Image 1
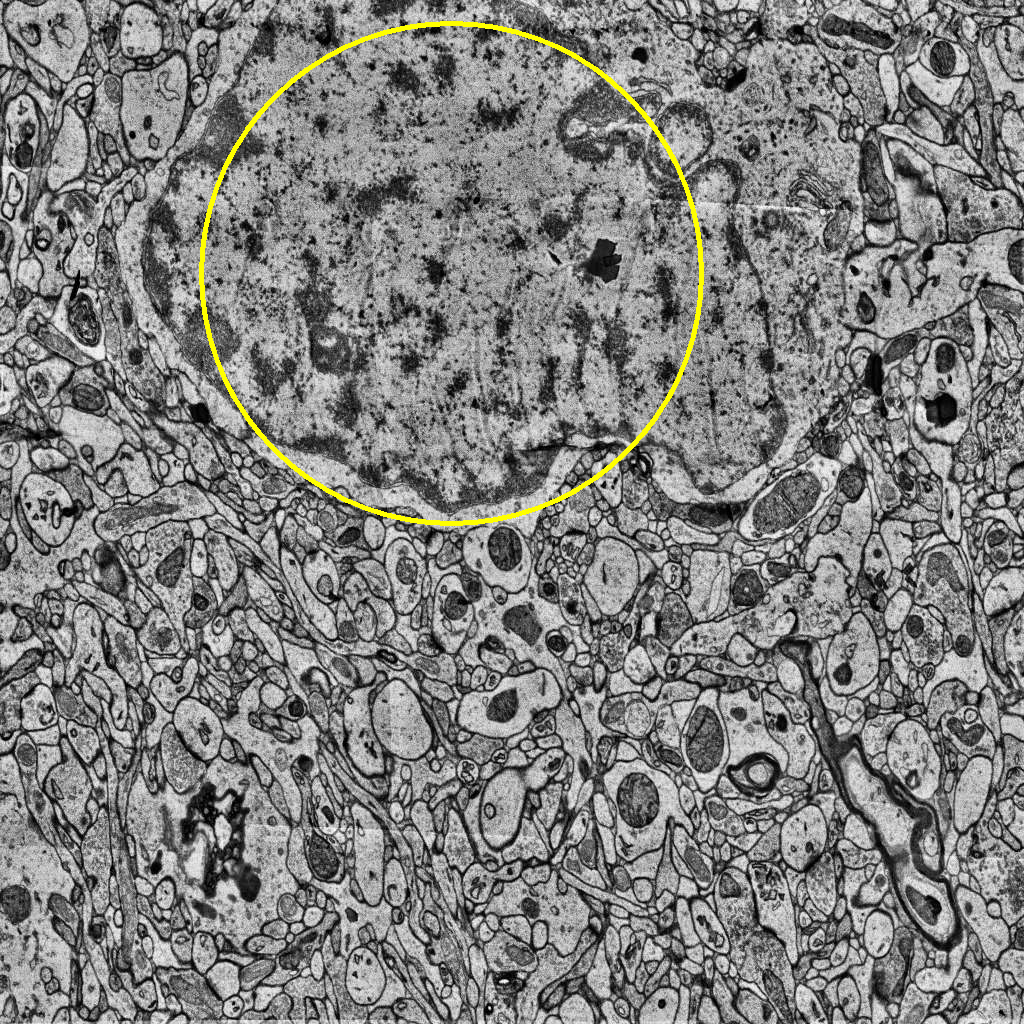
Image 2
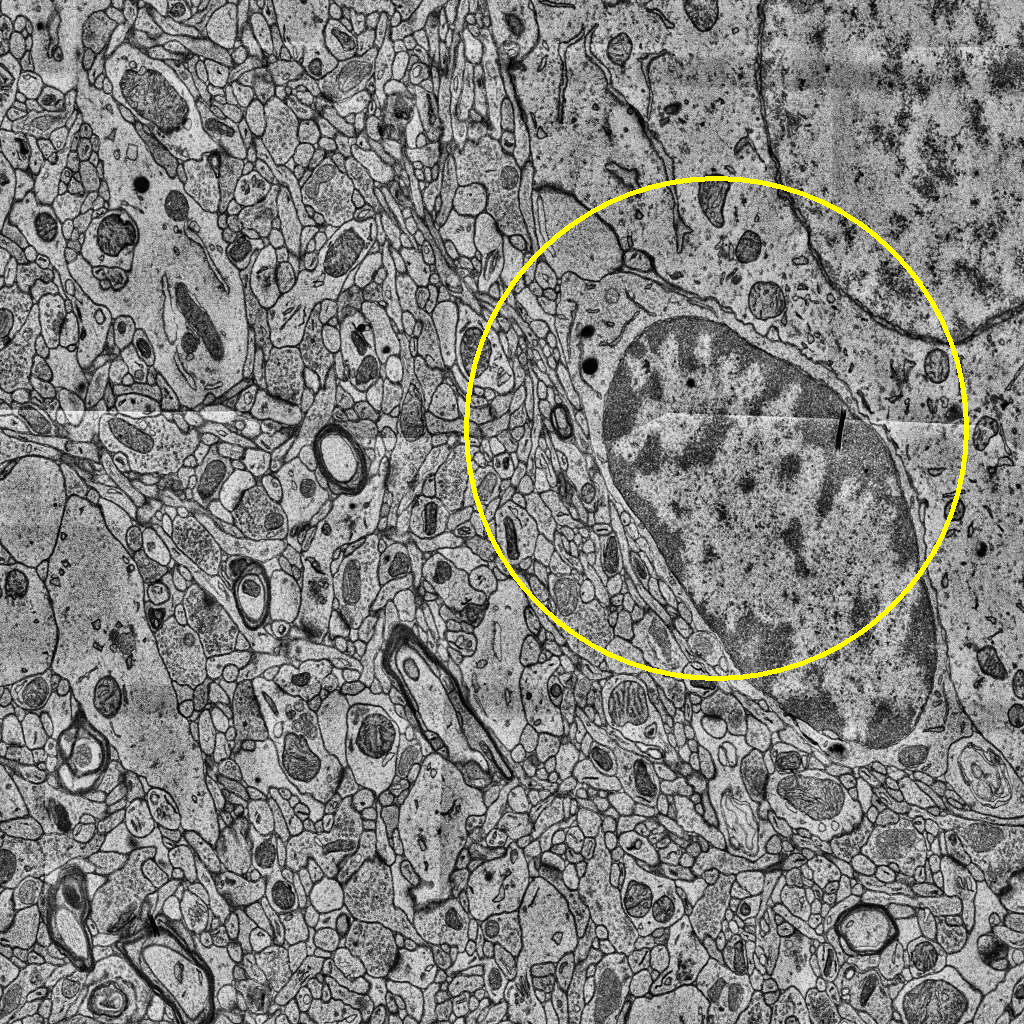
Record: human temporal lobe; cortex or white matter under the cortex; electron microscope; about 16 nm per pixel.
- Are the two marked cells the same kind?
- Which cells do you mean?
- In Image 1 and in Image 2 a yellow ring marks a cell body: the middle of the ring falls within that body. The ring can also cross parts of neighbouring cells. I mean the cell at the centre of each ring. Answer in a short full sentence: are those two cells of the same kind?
Yes, both cells are of the same kind.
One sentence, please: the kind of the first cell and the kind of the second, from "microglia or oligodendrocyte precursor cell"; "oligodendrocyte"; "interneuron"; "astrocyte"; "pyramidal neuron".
The first and the second cell are each a microglial cell or oligodendrocyte precursor cell.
